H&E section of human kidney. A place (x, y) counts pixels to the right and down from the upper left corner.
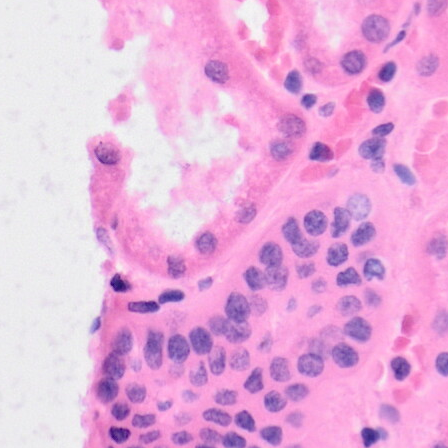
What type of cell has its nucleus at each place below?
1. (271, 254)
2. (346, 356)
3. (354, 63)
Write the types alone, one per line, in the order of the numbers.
collecting duct cell
collecting duct cell
proximal tubule cell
